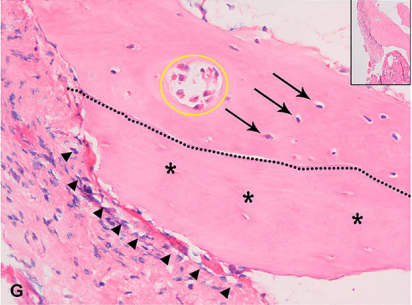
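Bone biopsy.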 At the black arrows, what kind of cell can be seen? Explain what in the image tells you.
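Osteocytes. The arrows point to small cells with dark nuclei lying in lacunae within pink bone matrix. The cells are scattered singly through the matrix.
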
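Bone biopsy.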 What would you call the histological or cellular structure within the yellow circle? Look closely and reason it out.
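The yellow circle encloses a round channel in the bone matrix. The channel contains several cells with nuclei.
Answer: blood vessel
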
